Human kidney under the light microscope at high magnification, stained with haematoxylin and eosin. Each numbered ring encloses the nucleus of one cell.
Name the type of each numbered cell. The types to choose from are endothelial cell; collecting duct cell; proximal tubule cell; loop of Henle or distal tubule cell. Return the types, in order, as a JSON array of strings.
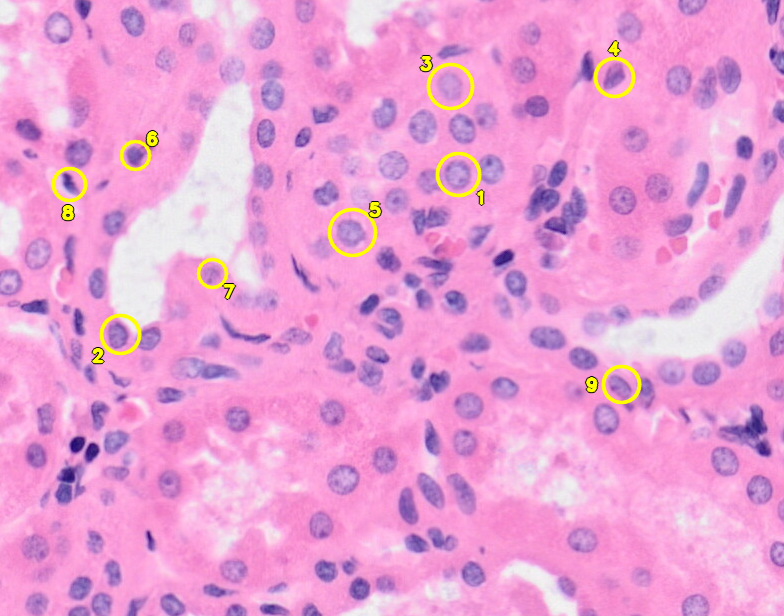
["loop of Henle or distal tubule cell", "loop of Henle or distal tubule cell", "loop of Henle or distal tubule cell", "endothelial cell", "loop of Henle or distal tubule cell", "endothelial cell", "loop of Henle or distal tubule cell", "endothelial cell", "collecting duct cell"]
